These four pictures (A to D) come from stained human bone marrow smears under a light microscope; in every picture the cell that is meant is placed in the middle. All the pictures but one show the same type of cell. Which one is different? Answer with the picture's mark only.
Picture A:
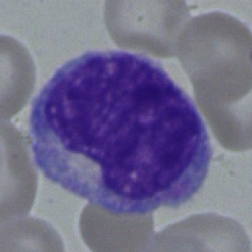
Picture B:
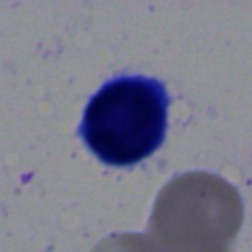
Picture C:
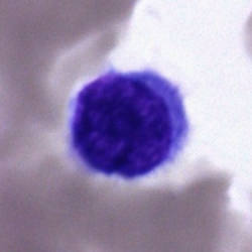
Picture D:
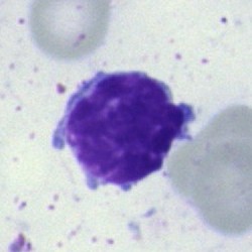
A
